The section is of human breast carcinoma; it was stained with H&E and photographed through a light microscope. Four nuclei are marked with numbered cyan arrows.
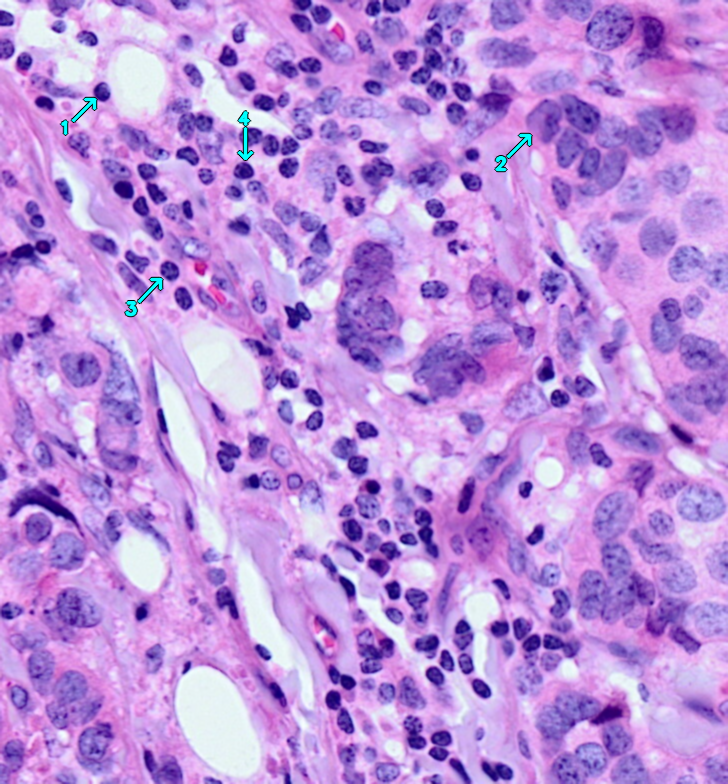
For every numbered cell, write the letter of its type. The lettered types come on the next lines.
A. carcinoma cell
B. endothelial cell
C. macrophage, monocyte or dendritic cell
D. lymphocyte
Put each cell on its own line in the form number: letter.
1: D
2: A
3: D
4: D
